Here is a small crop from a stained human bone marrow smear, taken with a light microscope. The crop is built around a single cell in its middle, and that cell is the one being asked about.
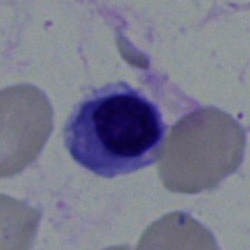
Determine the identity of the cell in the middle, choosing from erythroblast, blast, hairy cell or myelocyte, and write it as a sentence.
The cell at the middle of the frame should be recorded as an erythroblast.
